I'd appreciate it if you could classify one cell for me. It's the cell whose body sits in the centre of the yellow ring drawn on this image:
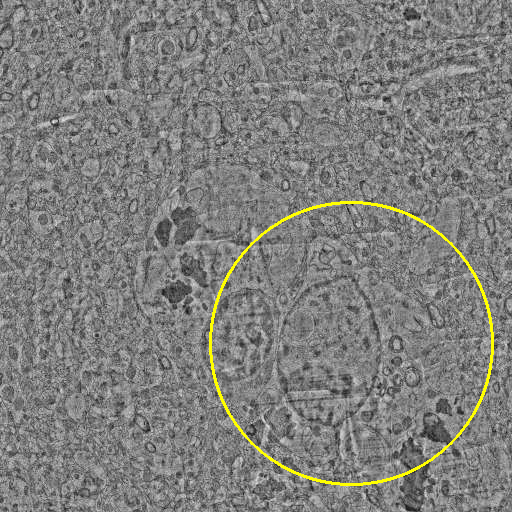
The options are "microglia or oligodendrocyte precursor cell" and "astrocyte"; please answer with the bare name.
astrocyte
